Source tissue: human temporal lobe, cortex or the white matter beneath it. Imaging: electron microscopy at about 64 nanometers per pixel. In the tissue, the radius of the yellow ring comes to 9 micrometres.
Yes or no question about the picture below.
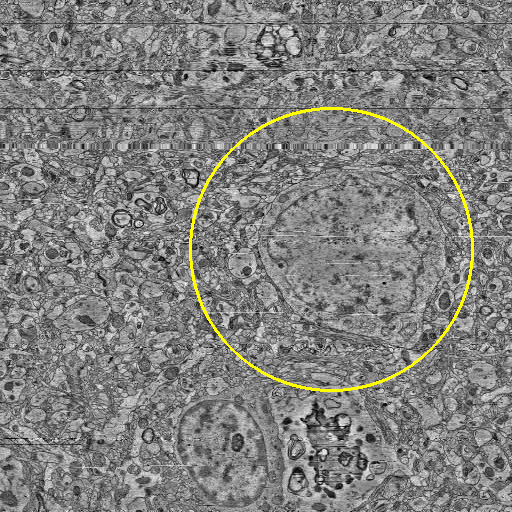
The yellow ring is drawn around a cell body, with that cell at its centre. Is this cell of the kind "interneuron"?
yes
